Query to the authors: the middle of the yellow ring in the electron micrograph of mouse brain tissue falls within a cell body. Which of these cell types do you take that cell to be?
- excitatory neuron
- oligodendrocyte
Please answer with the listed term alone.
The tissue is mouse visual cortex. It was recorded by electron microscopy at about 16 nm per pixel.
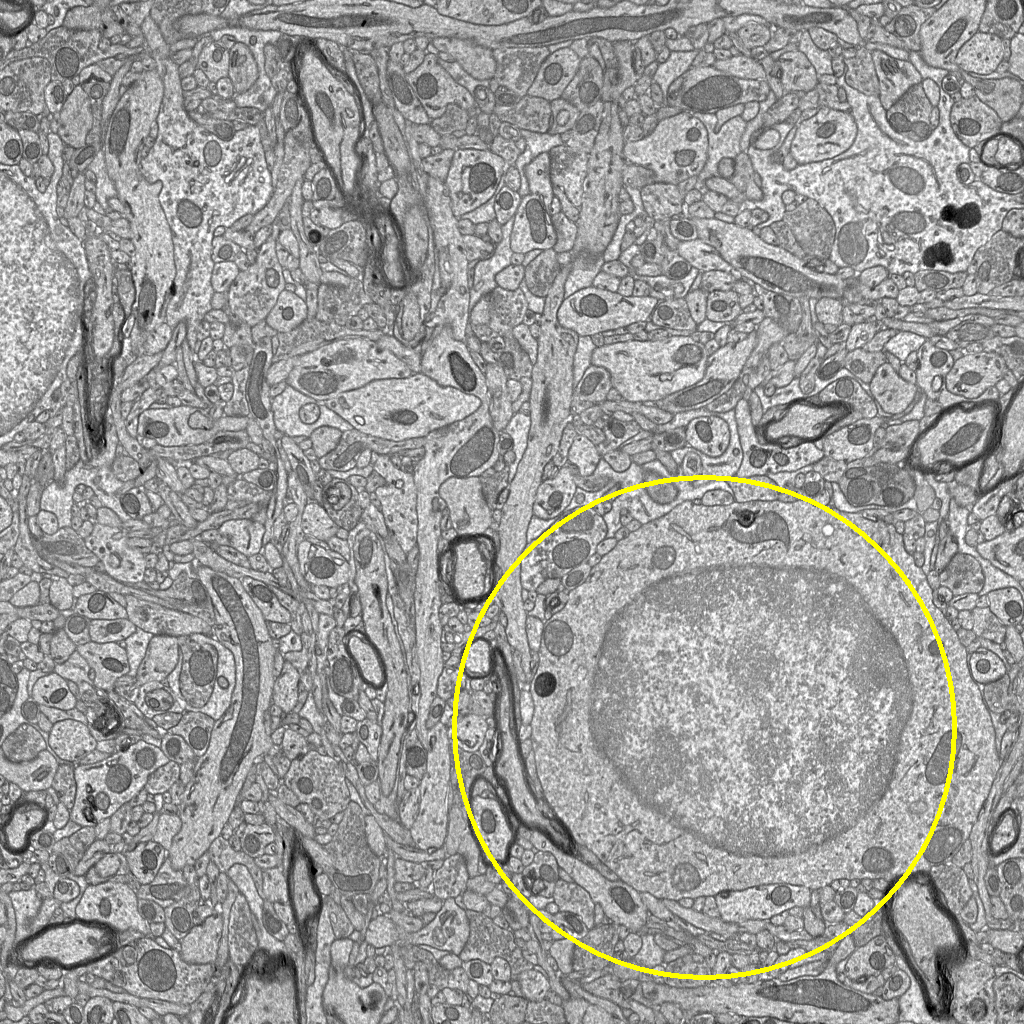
oligodendrocyte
